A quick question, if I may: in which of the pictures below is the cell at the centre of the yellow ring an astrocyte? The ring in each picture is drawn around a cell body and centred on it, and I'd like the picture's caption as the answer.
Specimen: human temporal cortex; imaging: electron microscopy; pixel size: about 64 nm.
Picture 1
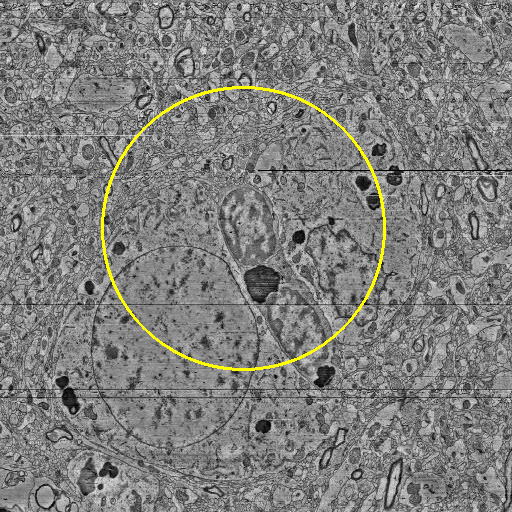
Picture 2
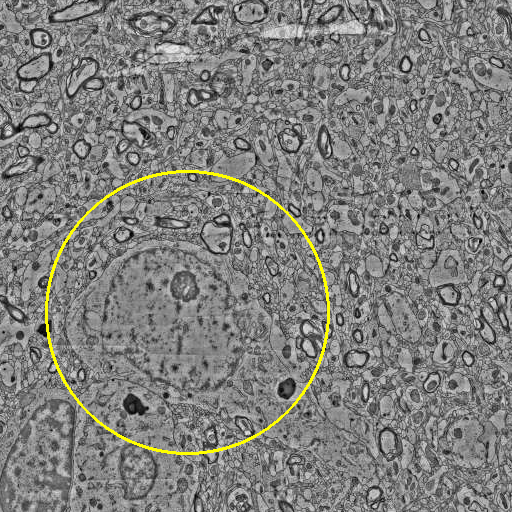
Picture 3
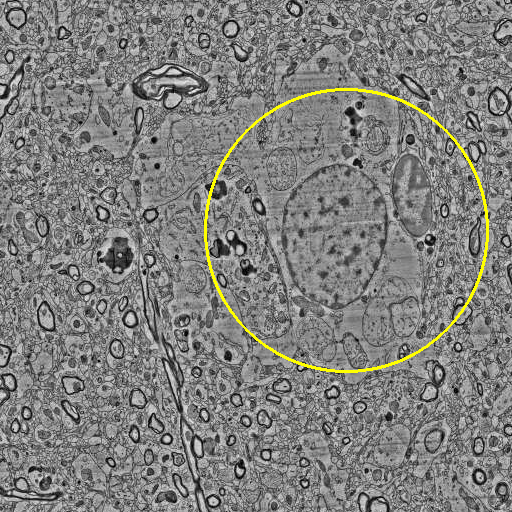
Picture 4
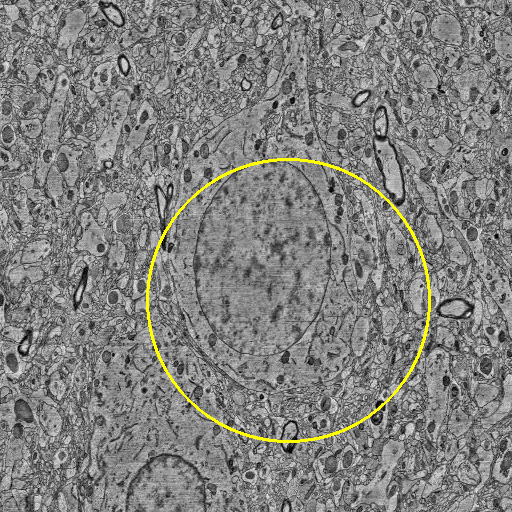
Picture 3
